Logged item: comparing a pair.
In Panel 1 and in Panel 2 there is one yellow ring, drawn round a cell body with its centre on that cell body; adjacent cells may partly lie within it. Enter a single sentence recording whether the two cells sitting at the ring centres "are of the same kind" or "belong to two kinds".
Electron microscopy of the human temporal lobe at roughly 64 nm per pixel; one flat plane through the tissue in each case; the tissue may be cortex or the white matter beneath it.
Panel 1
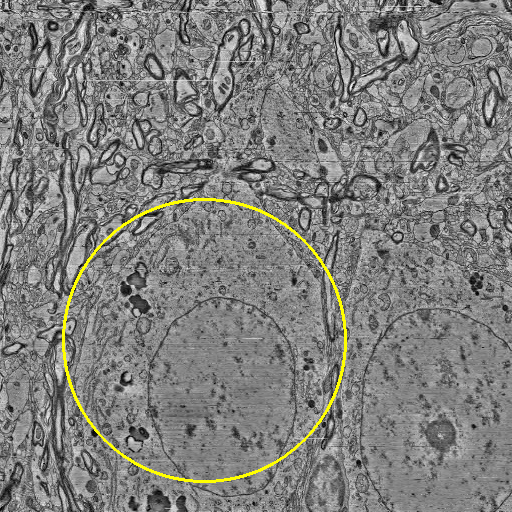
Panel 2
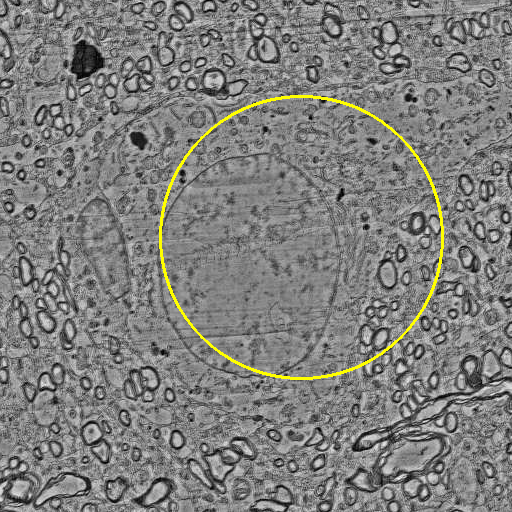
Logged: the cells centred in the rings of Panel 1 and Panel 2 are of the same kind.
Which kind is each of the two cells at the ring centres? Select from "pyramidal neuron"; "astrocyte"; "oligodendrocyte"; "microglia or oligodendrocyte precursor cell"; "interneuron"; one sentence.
In each picture the ringed cell is a pyramidal neuron.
